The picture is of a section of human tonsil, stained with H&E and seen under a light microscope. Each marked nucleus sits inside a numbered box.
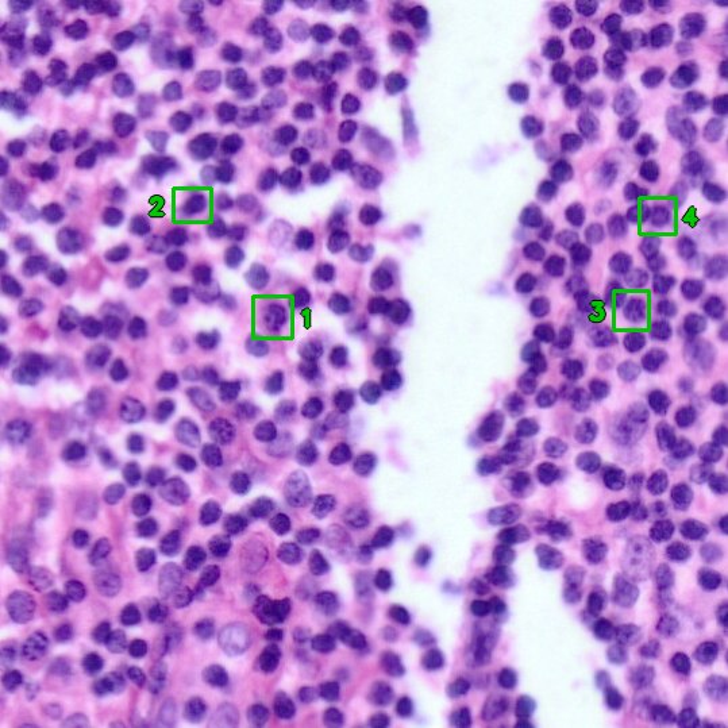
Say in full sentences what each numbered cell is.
Cell 1 is a plasma cell. Cells 2, 3 and 4 are small lymphocytes.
